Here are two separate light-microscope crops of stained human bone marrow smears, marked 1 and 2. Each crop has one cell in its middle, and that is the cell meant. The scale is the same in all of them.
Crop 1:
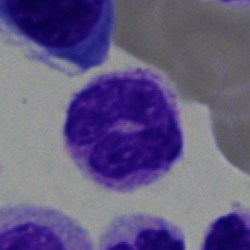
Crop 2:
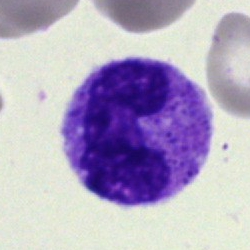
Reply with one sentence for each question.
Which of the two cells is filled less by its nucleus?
In crop 2 the nucleus takes up the smaller part of its cell.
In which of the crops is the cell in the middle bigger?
It is the cell in crop 2, about 1.5 times as large in area as the cell in crop 1.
